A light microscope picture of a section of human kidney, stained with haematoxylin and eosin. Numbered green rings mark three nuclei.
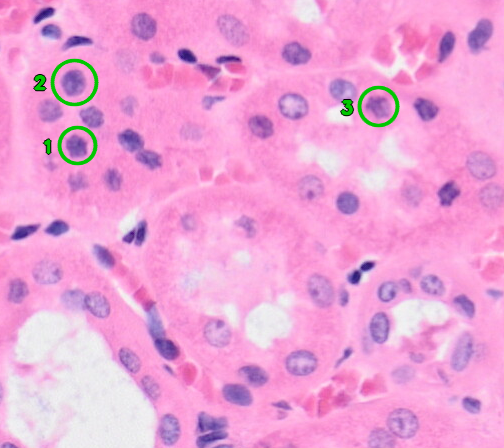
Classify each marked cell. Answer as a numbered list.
1. loop of Henle or distal tubule cell
2. loop of Henle or distal tubule cell
3. proximal tubule cell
